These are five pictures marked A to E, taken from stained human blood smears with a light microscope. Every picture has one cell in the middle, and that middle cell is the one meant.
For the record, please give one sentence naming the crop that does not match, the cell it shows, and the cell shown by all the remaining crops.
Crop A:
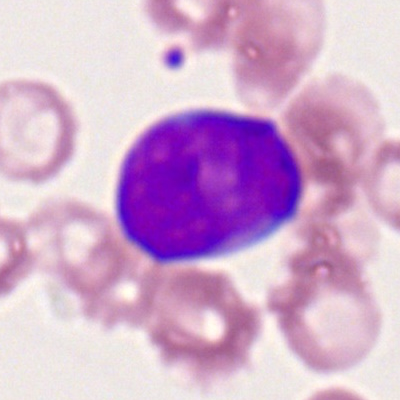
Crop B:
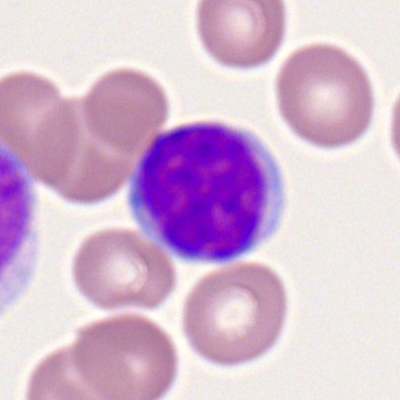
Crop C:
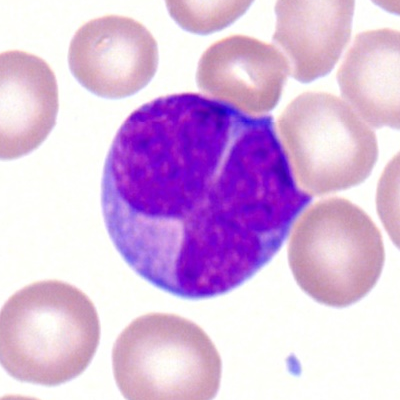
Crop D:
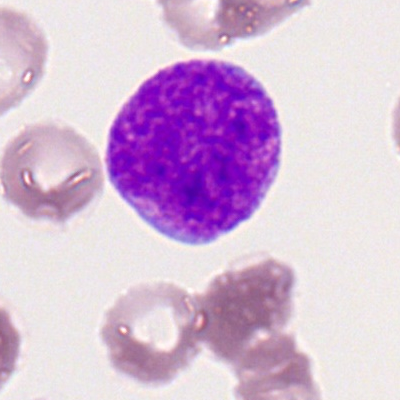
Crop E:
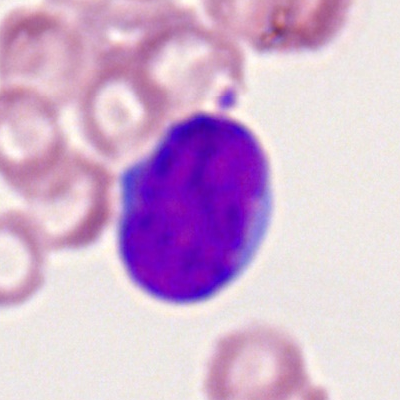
The single exception among the crops is crop B, which is a lymphocyte; the rest show blasts.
